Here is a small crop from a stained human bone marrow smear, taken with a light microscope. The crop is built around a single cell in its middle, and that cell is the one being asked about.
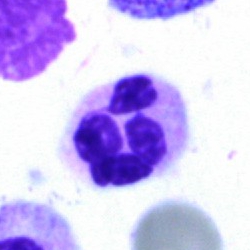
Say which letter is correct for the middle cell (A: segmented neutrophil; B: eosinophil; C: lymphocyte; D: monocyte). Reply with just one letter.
A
